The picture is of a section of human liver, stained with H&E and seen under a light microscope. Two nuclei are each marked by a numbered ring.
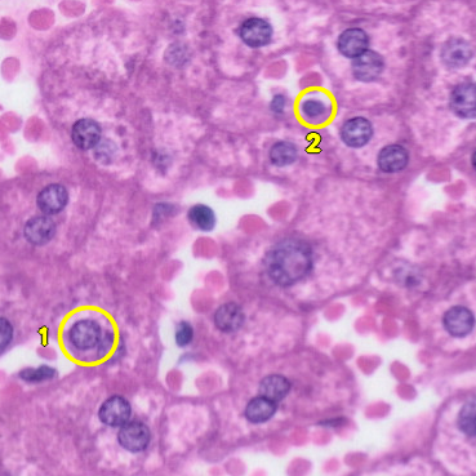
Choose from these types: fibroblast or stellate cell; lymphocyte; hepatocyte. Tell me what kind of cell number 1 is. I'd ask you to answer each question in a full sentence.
Cell 1 is classified as a hepatocyte.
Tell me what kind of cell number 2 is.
The correct answer for cell 2 is a lymphocyte.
